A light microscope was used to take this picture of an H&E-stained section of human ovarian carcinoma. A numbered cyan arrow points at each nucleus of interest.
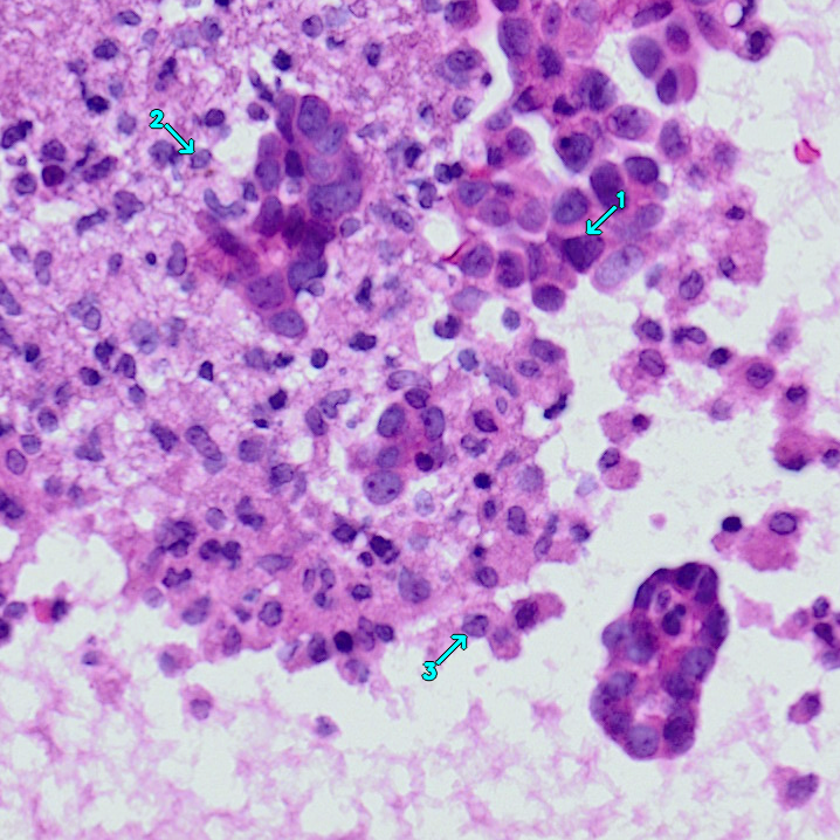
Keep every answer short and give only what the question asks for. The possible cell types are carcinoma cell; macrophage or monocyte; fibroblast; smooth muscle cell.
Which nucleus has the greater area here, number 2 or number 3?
3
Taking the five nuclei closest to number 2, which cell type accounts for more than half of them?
macrophage or monocyte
